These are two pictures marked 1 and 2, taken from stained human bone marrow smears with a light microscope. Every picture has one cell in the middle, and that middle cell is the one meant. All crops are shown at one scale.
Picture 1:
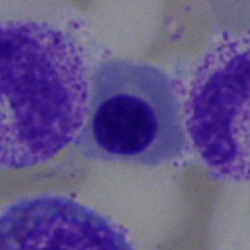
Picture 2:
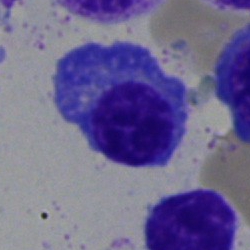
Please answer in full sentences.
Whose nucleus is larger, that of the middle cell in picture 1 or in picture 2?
Larger is the nucleus in picture 2, at roughly 2 times the area of the other.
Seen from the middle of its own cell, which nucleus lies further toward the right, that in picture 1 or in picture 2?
The nucleus in picture 2 lies further toward the right of its cell.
